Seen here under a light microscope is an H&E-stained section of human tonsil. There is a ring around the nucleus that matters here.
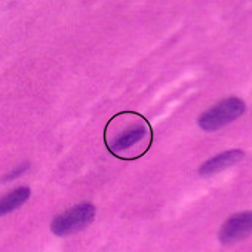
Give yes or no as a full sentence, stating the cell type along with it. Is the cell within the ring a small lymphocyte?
No, the cell within the ring is a squamous epithelial cell in this section, not a small lymphocyte.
